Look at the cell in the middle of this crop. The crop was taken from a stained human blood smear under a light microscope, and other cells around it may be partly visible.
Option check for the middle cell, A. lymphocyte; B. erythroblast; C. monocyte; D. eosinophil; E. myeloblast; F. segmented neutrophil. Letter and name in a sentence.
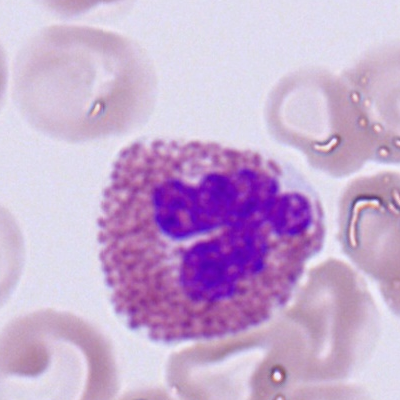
According to option D, which is correct, the cell in the middle is an eosinophil.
